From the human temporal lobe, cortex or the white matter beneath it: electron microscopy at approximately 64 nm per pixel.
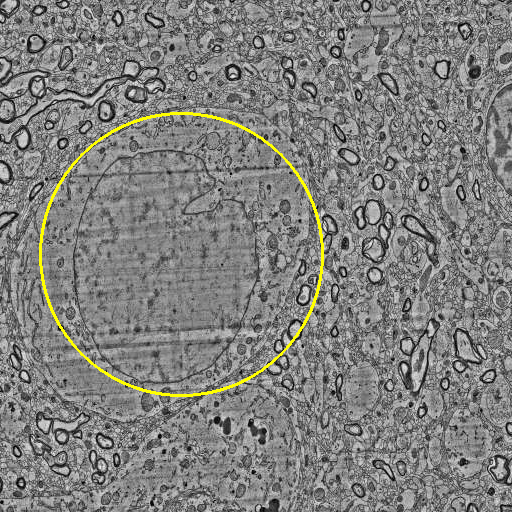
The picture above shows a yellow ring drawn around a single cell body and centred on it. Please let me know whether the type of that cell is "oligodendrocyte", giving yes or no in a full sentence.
No, the cell at the centre of the ring above has a different type.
